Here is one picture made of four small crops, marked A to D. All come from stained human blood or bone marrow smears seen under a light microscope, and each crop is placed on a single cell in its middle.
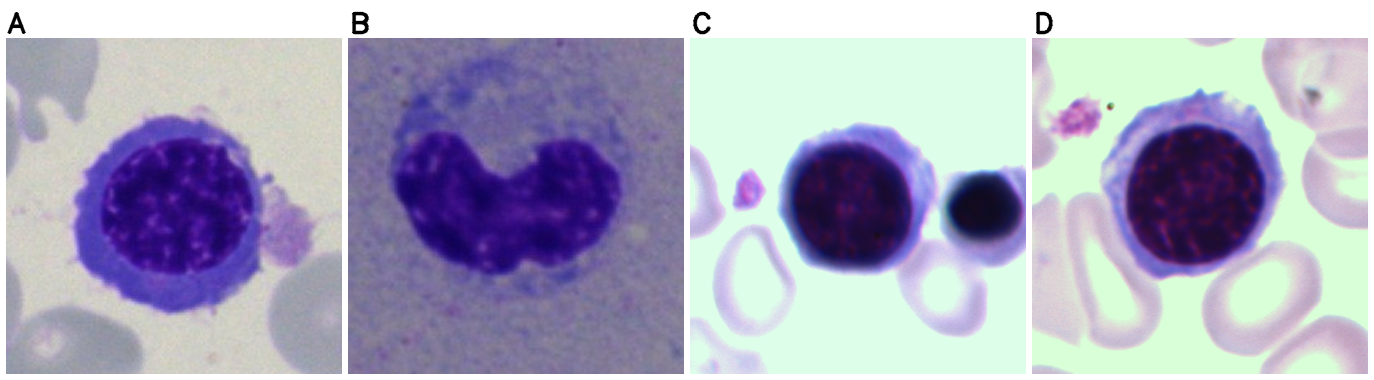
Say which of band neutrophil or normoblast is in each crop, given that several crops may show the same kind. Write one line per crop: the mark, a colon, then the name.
A: normoblast
B: band neutrophil
C: normoblast
D: normoblast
